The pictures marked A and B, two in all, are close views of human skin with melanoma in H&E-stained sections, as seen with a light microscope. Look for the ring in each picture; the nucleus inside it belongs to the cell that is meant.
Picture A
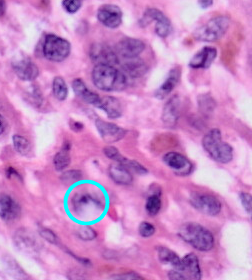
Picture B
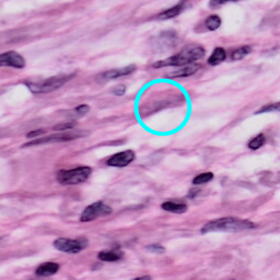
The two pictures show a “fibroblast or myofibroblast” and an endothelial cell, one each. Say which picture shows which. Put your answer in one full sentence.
In picture A the cell is an endothelial cell; in picture B, a “fibroblast or myofibroblast”.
